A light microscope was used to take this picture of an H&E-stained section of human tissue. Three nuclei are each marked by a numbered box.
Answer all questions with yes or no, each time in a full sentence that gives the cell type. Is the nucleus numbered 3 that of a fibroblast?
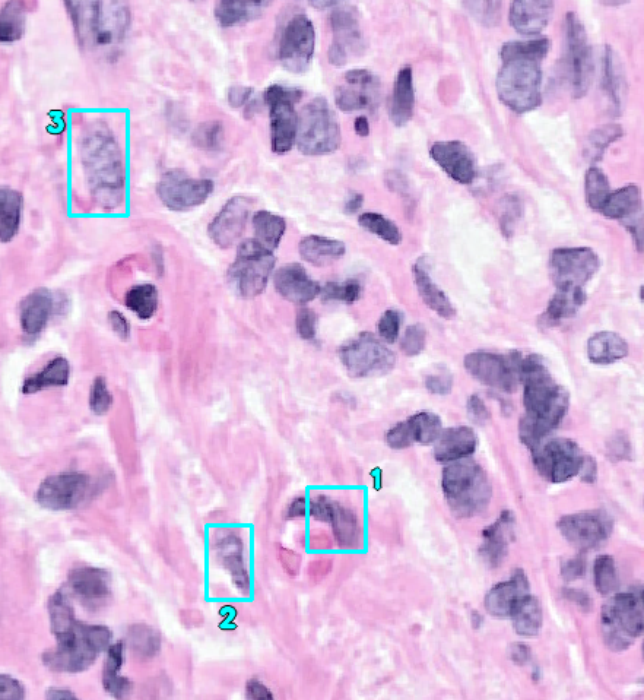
No, that is wrong: cell 3 is an endothelial cell, and not a fibroblast.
